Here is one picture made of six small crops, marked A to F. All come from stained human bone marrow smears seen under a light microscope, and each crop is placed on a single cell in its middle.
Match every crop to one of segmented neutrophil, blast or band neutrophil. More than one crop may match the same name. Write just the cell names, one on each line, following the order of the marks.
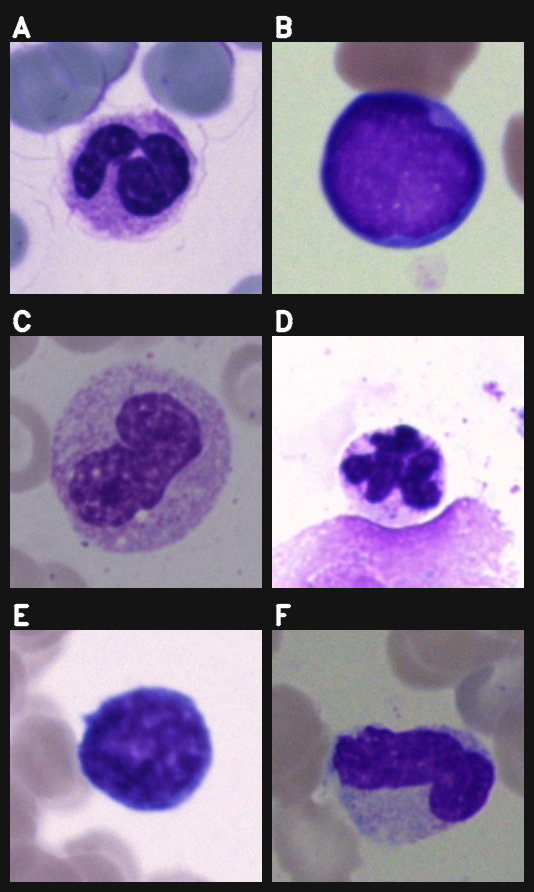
segmented neutrophil
blast
band neutrophil
segmented neutrophil
blast
band neutrophil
